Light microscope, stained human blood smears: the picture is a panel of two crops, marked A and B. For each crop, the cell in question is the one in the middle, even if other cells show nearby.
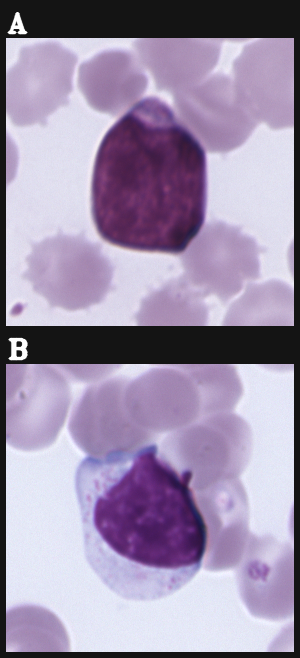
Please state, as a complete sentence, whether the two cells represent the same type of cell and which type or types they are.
No, crop A is the one with a blast; crop B has a large granular lymphocyte.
